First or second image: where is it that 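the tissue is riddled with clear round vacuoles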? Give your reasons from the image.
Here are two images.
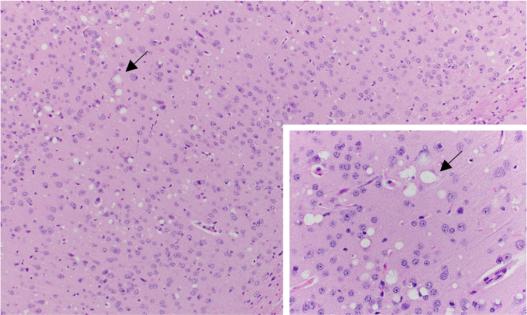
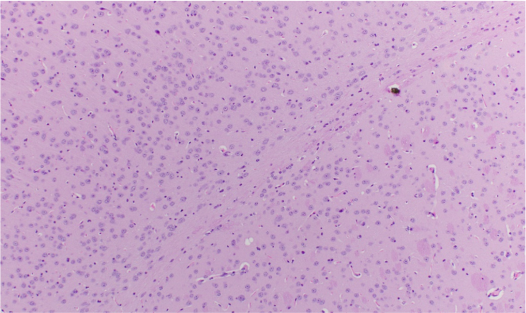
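The first image. First image: numerous clear round empty spaces are scattered between the nuclei.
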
